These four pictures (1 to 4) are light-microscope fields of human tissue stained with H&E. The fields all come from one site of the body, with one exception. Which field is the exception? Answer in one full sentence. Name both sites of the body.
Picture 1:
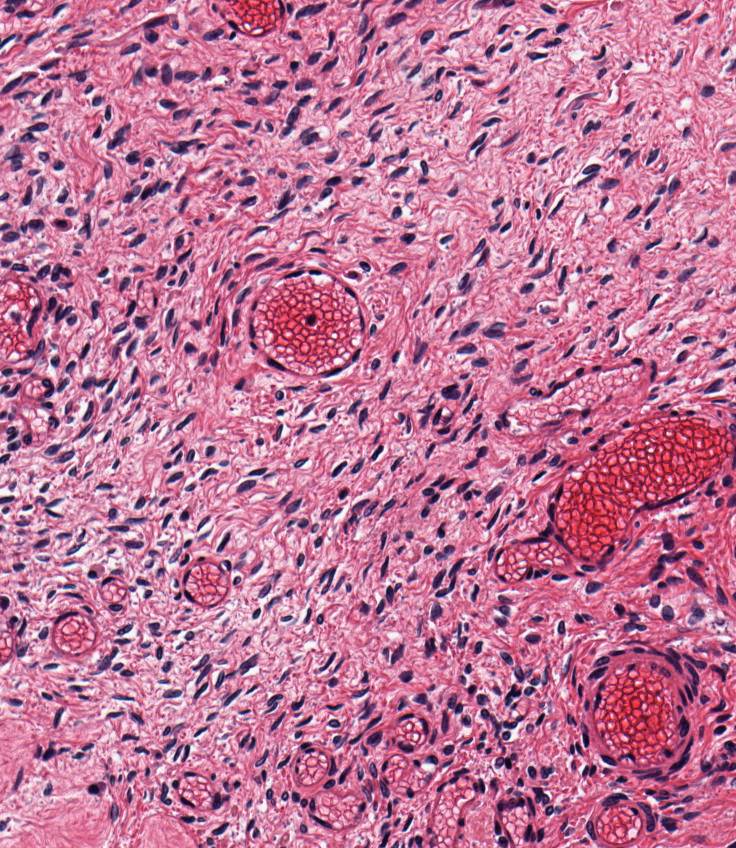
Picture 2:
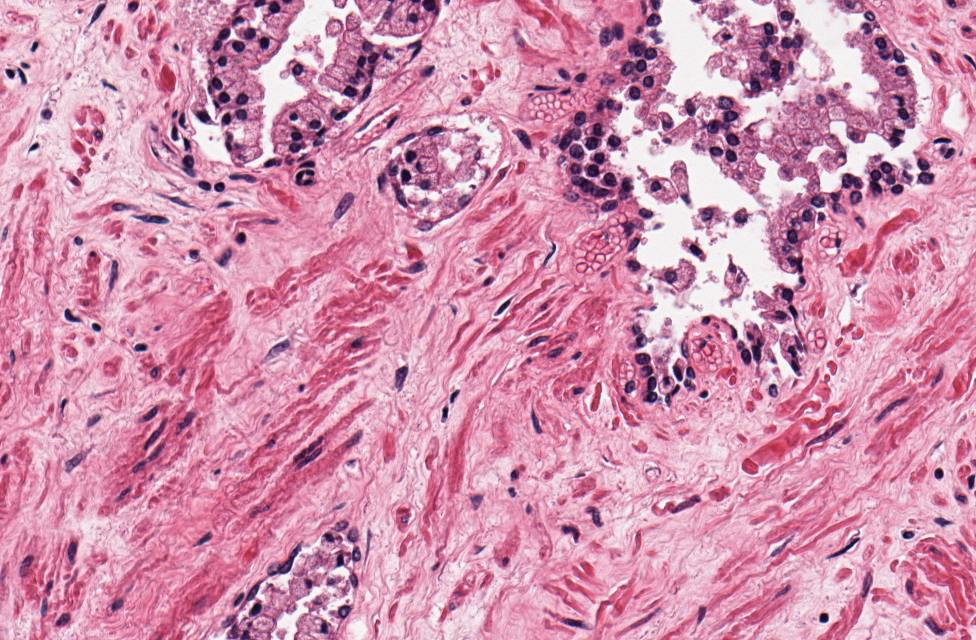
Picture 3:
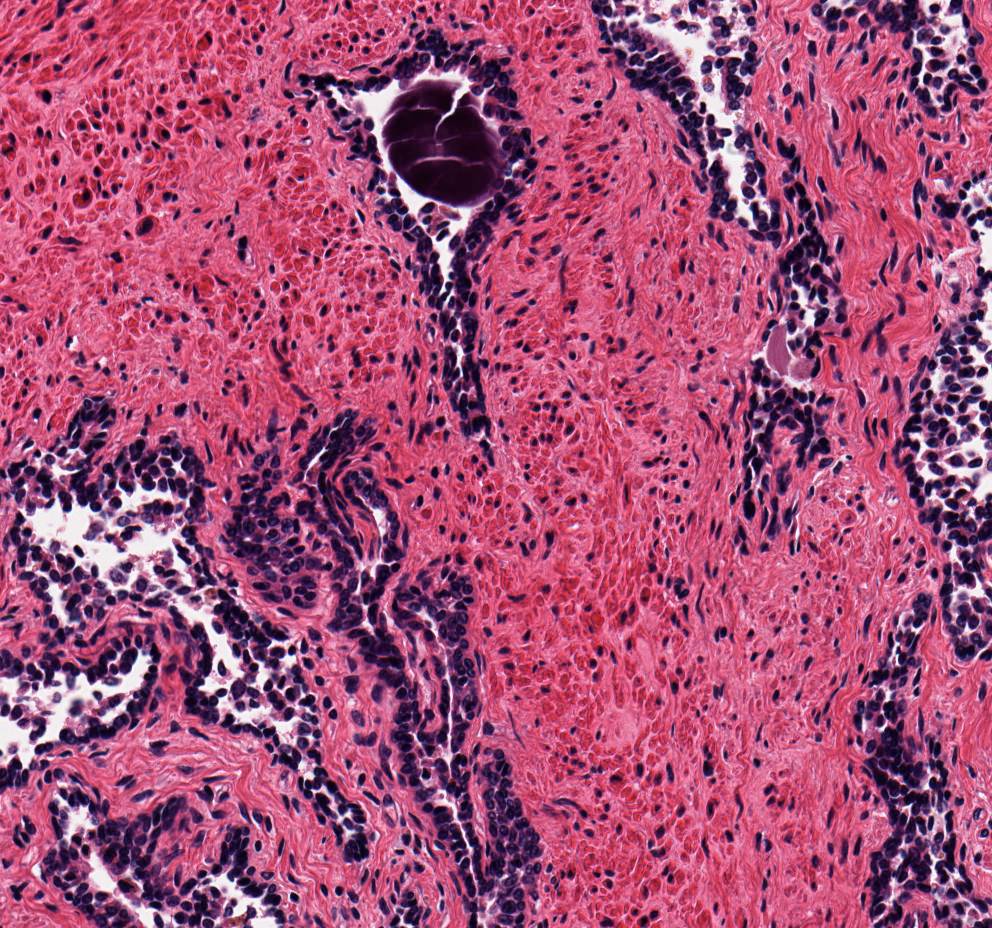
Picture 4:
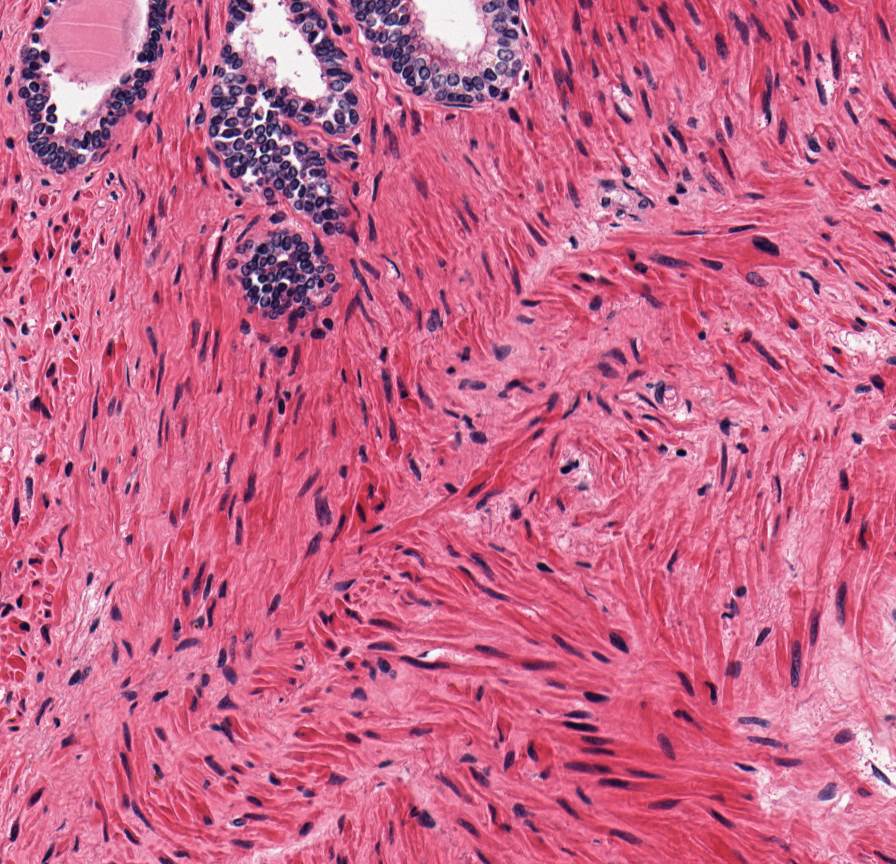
The others come from the prostate, but picture 1 comes from the ovary.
